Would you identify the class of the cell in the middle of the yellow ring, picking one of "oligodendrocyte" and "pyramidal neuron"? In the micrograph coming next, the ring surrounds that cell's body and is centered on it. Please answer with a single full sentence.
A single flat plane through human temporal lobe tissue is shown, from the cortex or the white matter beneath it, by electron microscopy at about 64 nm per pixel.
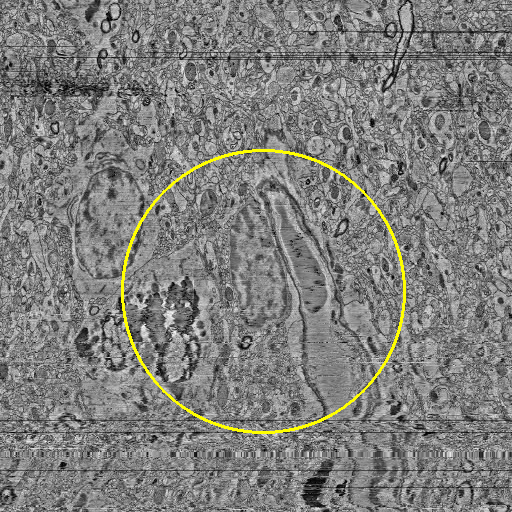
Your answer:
In the micrograph, it is an oligodendrocyte whose body lies at the ring's center.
